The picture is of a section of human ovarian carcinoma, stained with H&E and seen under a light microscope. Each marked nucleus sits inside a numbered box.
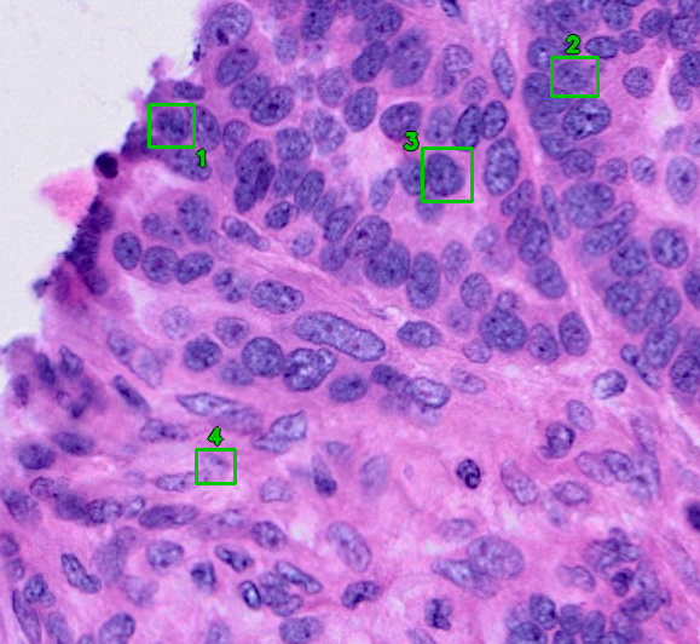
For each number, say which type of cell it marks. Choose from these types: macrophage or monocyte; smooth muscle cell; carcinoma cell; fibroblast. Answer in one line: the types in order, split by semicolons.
carcinoma cell; carcinoma cell; carcinoma cell; fibroblast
